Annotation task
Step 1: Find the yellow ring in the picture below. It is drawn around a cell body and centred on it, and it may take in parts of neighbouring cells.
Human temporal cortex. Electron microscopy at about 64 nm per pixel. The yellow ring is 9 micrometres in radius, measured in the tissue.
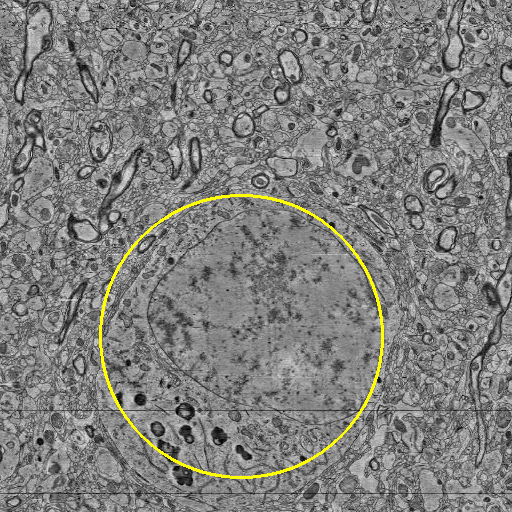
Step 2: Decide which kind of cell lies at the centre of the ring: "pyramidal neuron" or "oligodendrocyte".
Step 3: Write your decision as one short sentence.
The kind of cell at the ring's centre is a pyramidal neuron.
